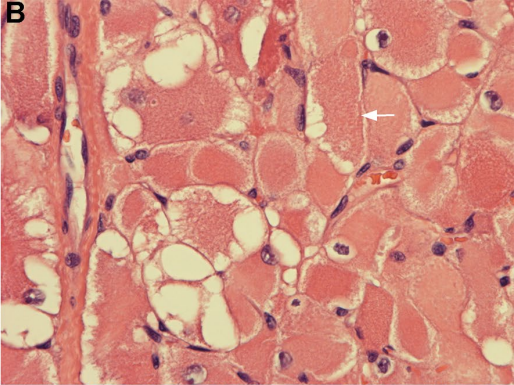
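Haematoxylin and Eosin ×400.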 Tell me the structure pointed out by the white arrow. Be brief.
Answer: Cross striations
